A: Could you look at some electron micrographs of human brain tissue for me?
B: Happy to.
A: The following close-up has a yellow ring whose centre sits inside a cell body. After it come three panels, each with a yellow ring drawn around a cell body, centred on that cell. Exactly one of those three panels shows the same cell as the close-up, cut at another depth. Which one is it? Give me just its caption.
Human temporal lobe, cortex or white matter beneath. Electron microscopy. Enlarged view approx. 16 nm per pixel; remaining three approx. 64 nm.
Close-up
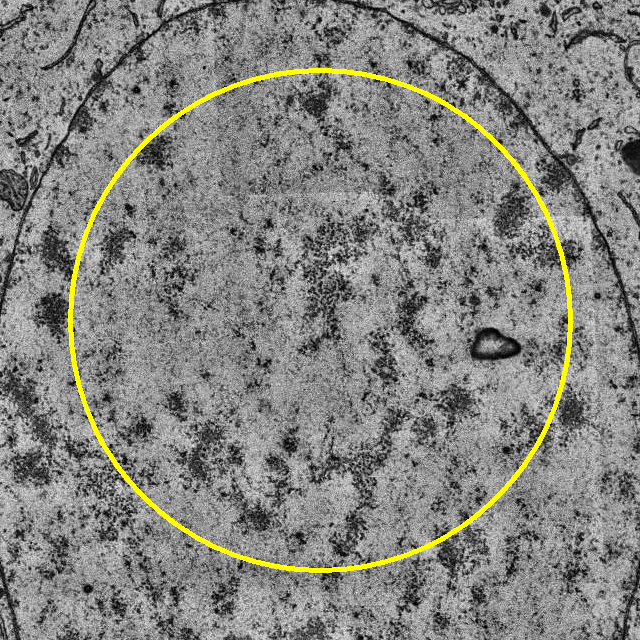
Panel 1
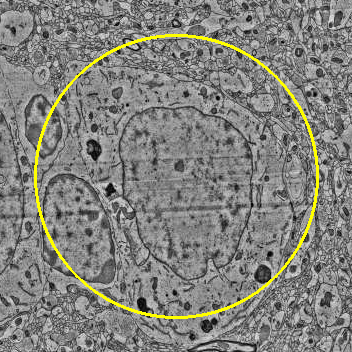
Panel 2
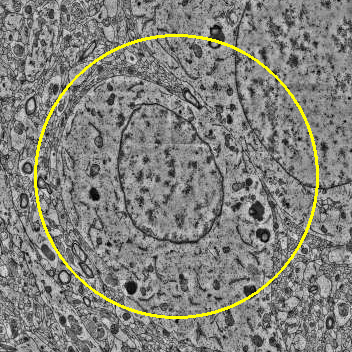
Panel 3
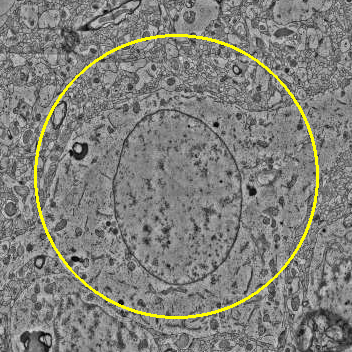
Panel 3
